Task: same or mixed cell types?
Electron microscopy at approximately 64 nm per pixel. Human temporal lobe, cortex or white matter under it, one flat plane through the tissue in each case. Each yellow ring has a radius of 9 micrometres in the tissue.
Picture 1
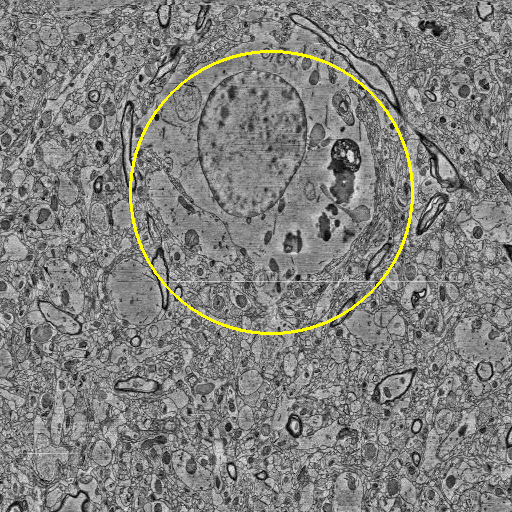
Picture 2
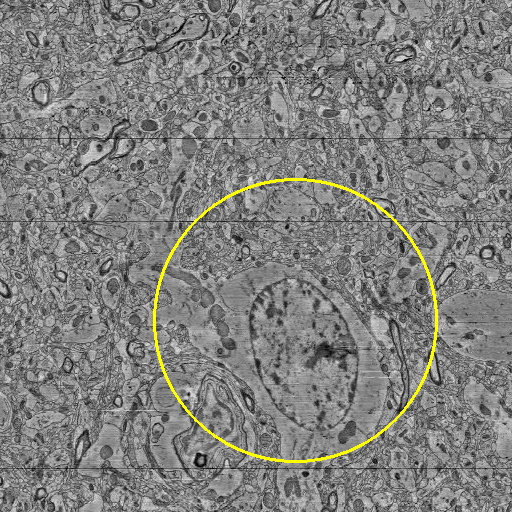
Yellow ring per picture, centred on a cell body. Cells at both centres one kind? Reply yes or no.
yes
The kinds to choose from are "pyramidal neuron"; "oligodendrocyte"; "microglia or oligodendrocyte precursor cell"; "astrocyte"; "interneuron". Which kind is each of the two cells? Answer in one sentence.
Both pictures show an astrocyte at the centre of the ring.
